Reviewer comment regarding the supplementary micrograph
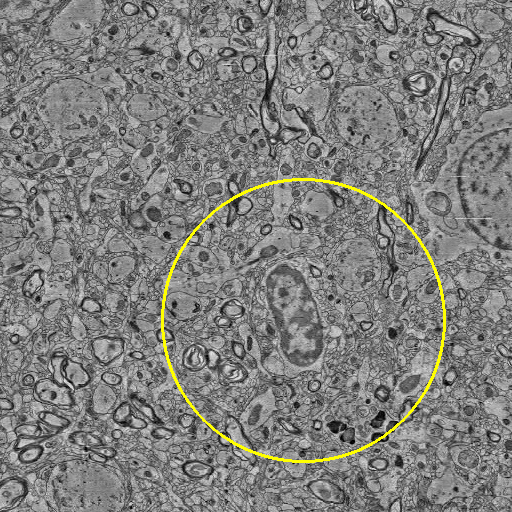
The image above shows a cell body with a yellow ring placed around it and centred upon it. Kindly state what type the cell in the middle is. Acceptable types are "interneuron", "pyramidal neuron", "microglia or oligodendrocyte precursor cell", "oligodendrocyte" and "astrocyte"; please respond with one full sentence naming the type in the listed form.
In the image above, the cell on which the yellow ring is centred is a microglial cell or oligodendrocyte precursor cell.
